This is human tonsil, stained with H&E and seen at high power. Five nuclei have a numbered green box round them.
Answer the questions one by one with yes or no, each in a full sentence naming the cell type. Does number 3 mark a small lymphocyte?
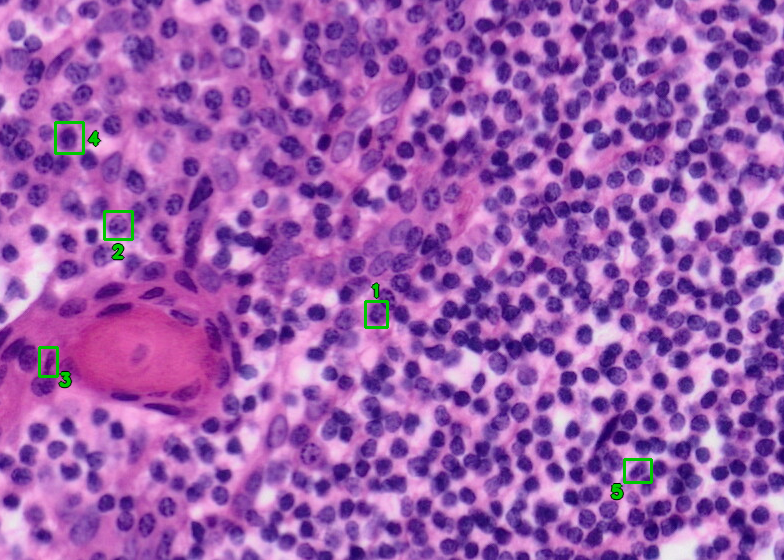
No, number 3 points to a squamous epithelial cell and not to a small lymphocyte.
